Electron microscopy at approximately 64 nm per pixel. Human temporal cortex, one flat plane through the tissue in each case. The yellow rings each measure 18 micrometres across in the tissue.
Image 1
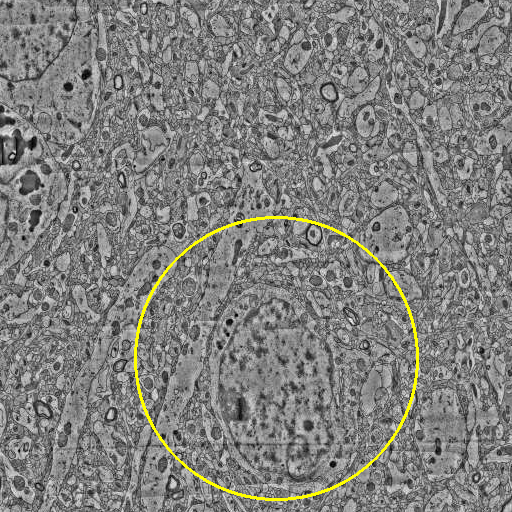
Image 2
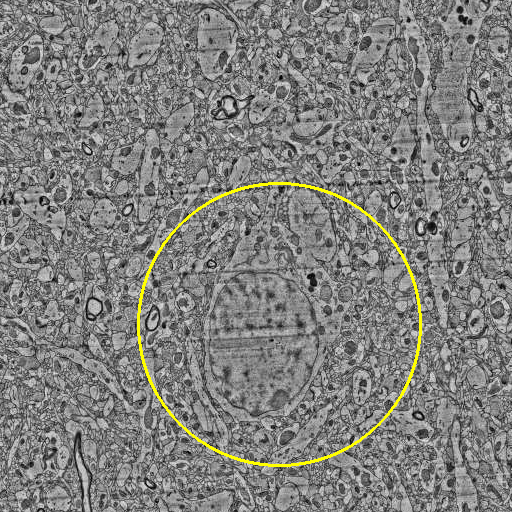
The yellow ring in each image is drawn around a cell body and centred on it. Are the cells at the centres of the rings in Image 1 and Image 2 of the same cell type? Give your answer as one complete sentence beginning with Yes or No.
Yes, both cells are of the same type.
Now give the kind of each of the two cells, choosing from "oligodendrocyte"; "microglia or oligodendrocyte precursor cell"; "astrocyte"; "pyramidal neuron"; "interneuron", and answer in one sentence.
The first and the second cell are each an interneuron.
